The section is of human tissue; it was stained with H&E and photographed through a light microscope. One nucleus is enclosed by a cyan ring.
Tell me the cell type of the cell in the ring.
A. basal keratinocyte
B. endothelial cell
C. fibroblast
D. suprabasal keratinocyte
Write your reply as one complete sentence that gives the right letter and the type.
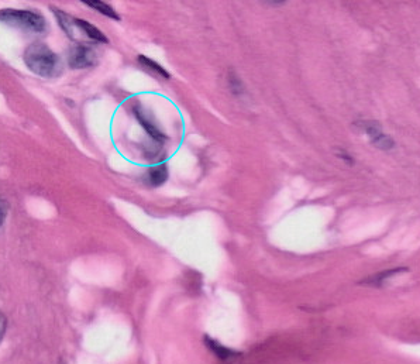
Option B is correct in stating that the cell in the ring is an endothelial cell.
